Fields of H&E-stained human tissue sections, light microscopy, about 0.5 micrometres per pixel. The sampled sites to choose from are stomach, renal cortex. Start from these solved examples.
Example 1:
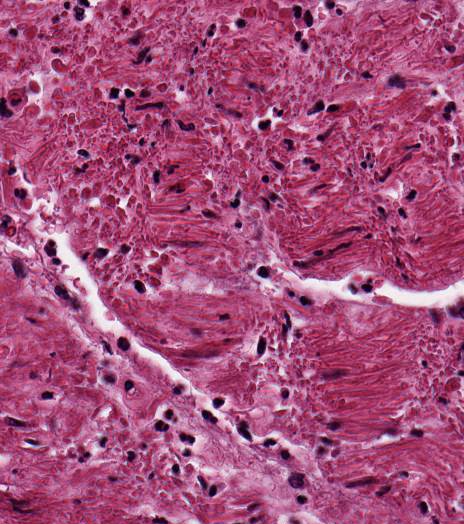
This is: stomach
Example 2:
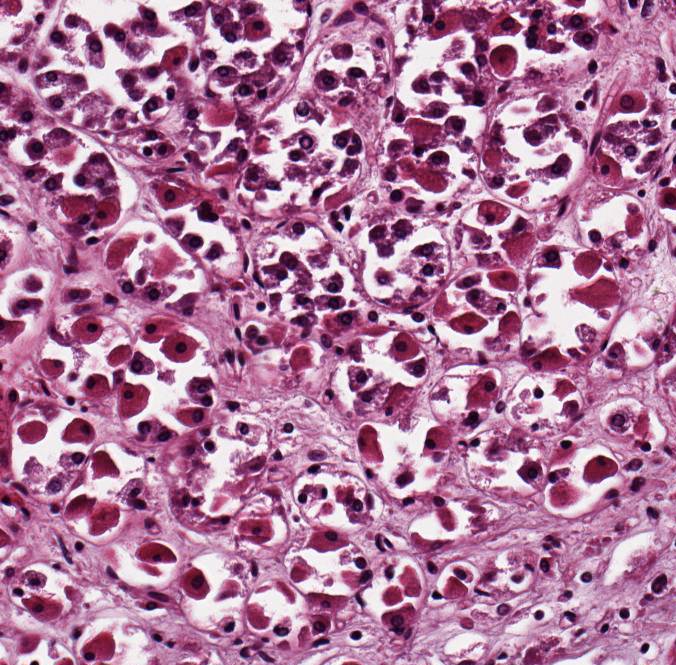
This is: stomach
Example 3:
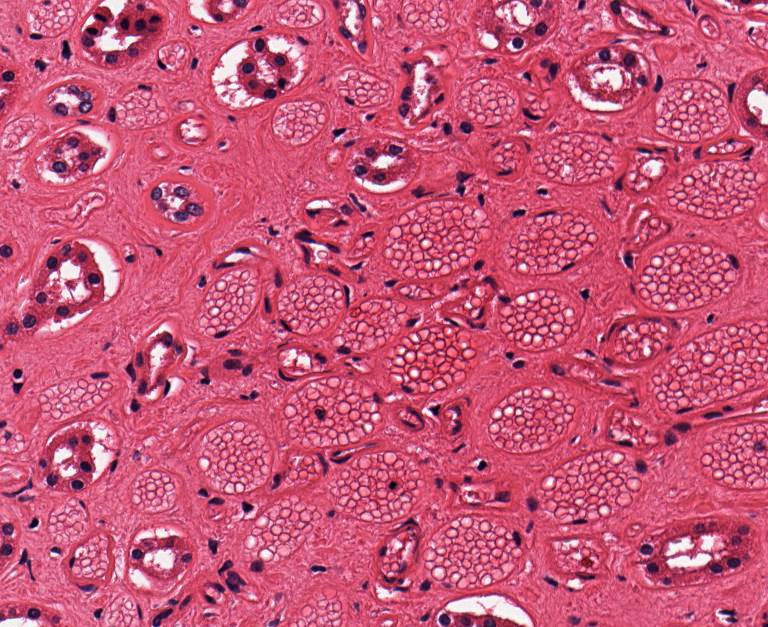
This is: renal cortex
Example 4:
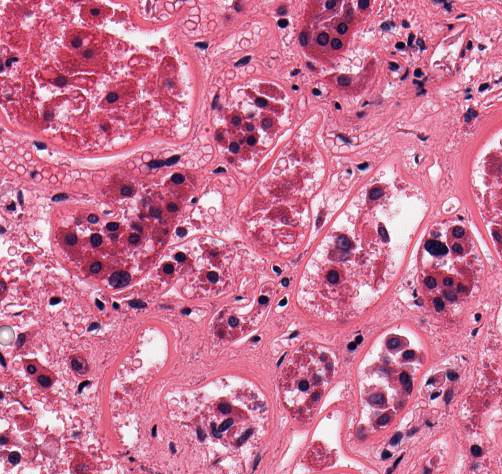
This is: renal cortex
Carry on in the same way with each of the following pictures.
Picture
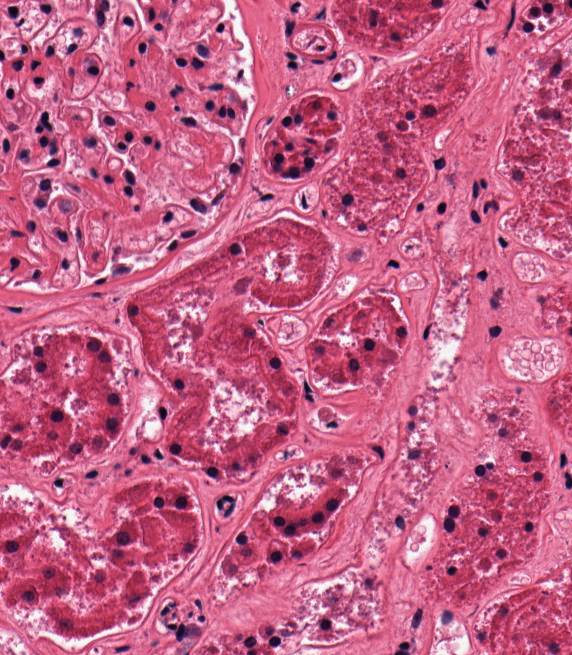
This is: renal cortex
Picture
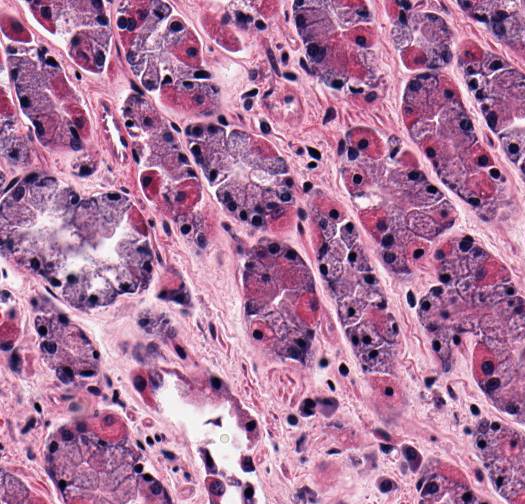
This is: stomach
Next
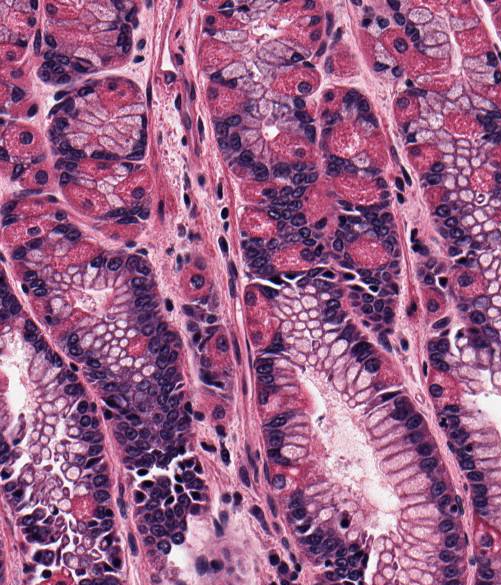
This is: stomach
